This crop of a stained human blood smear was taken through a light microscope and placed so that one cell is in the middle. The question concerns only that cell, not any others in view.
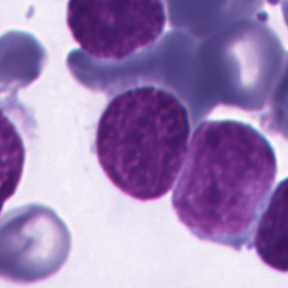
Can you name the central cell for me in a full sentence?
The cell in the middle of the field of view is a myeloblast.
